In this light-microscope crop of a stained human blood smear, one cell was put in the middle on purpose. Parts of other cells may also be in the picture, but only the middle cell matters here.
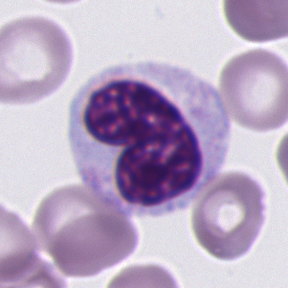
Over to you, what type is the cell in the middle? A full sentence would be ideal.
Among the cells in view, the one in the middle is a band neutrophil.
